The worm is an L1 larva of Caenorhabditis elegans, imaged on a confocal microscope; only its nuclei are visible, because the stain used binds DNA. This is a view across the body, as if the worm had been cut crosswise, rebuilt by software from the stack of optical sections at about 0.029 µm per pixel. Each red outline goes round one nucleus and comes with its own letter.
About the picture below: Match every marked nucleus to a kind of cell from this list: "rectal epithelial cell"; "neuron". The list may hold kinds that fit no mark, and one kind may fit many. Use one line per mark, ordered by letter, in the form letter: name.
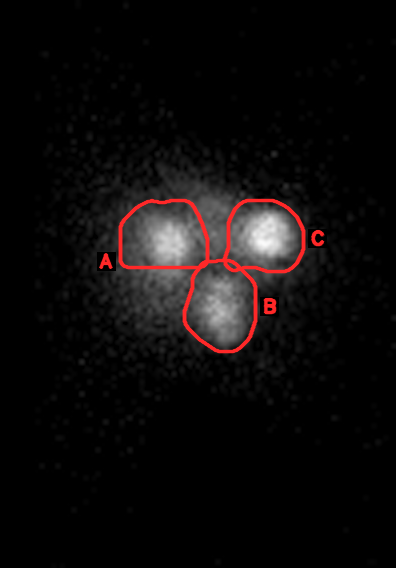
A: neuron
B: rectal epithelial cell
C: neuron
